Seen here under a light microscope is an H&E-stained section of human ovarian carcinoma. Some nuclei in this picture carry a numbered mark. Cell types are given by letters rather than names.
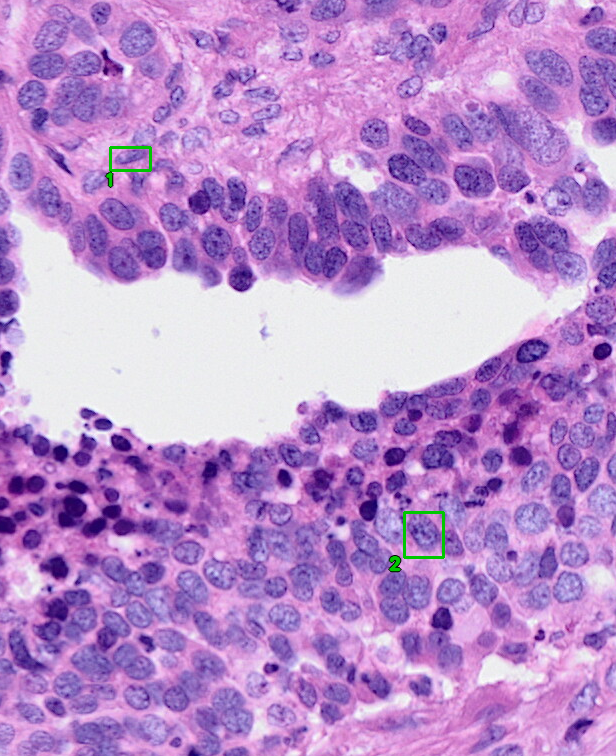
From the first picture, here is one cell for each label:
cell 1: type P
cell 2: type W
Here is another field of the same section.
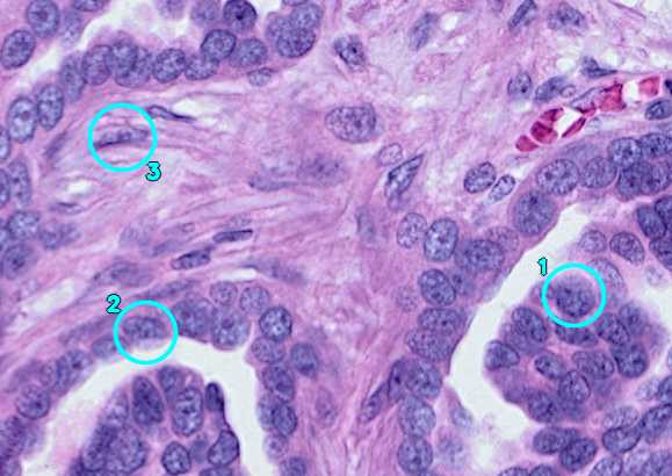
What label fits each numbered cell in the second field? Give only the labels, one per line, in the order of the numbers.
type W
type W
type P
